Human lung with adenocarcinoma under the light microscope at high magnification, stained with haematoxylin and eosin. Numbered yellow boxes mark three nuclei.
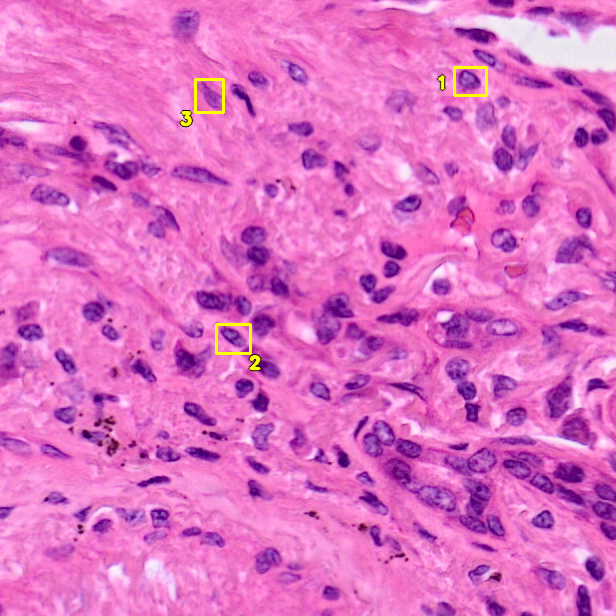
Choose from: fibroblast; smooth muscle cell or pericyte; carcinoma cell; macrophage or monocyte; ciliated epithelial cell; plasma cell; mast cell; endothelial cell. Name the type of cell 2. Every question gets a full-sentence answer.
Marked with the number 2, this cell is a mast cell.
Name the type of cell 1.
Heads up, the cell numbered 1 is a mast cell.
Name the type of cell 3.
What the number 3 marks in this field is a smooth muscle cell or pericyte.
